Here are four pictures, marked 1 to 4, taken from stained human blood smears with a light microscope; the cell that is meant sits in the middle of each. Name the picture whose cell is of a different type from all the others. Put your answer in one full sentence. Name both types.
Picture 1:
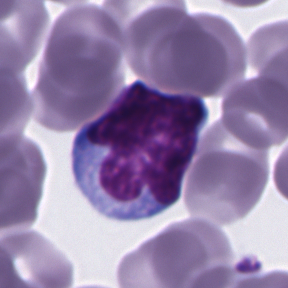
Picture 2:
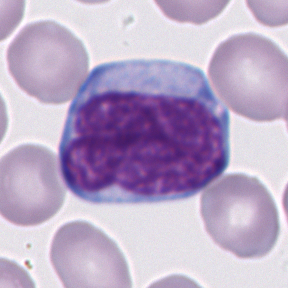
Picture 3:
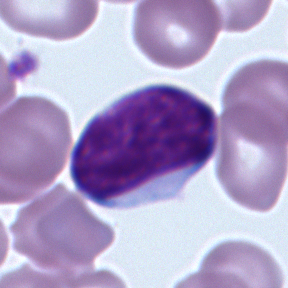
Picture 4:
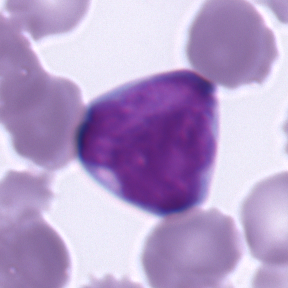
The others show myeloblasts, but picture 1 shows a typical lymphocyte.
